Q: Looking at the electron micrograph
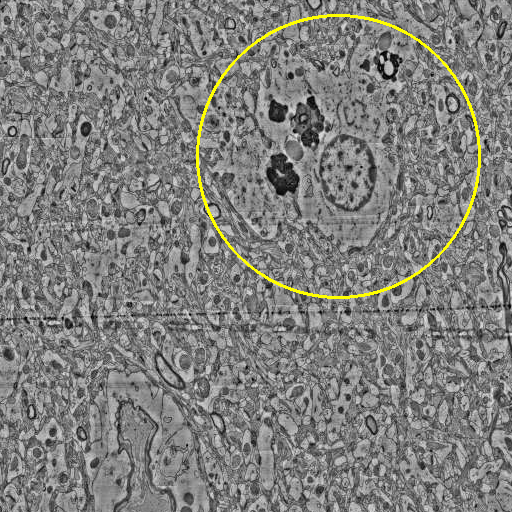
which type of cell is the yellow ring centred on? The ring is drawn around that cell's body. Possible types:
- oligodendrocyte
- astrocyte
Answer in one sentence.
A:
The yellow ring is centred on an astrocyte.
